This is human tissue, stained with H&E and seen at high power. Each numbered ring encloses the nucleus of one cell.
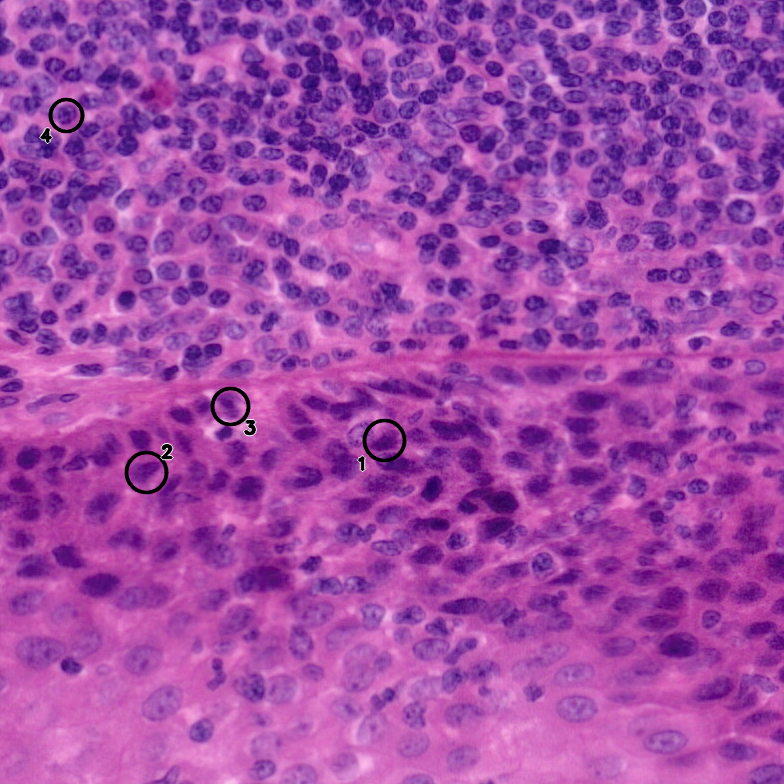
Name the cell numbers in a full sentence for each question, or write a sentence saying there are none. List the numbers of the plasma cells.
Being a plasma cell is true of cell 4 and of no other numbered cell.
